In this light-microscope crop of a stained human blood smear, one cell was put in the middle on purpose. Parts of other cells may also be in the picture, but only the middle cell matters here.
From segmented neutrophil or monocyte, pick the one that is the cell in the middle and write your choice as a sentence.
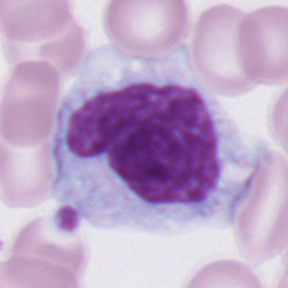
The cell that lies at the centre of the crop is a monocyte.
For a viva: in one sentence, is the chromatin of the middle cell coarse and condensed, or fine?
The chromatin is fine, with no coarse clumping anywhere.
